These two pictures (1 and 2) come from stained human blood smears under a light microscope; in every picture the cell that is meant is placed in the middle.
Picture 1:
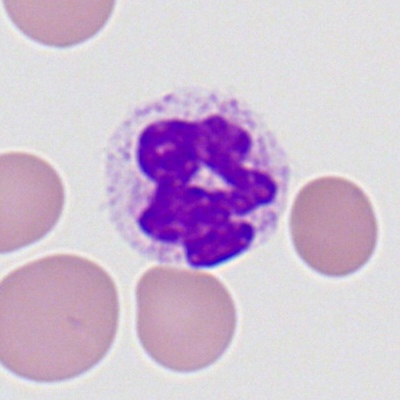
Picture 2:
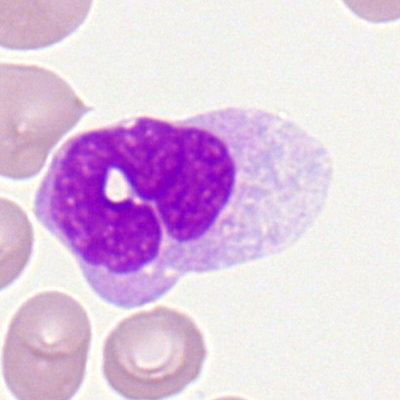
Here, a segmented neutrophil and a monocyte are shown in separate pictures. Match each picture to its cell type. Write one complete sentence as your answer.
Picture 1 is of a segmented neutrophil, and picture 2 is of a monocyte.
